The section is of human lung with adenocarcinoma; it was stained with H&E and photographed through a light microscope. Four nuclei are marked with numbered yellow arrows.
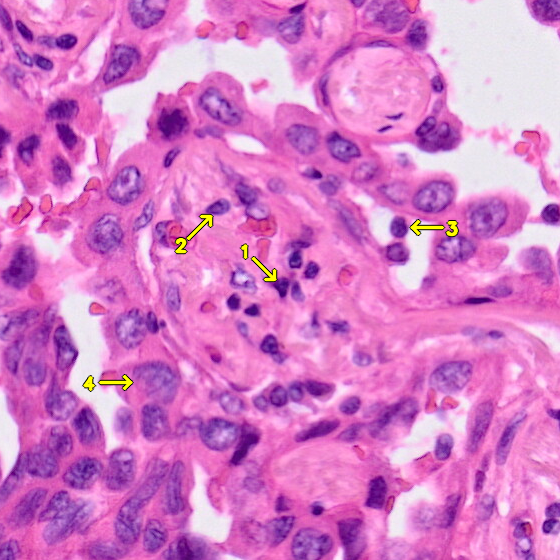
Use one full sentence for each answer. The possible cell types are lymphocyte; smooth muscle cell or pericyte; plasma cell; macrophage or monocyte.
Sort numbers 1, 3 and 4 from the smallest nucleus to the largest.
By area, going up from the smallest, they rank 1, 3, 4.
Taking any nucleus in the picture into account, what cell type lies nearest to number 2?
The cell nearest to number 2 is a plasma cell.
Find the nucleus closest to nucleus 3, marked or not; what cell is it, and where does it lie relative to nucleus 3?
It is a macrophage or monocyte, whose nucleus lies below nucleus 3.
